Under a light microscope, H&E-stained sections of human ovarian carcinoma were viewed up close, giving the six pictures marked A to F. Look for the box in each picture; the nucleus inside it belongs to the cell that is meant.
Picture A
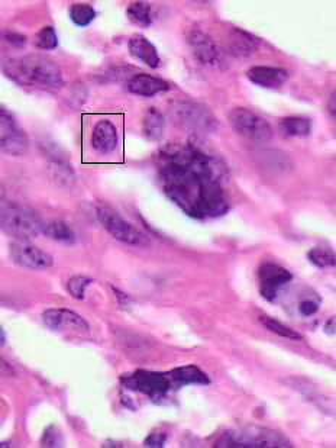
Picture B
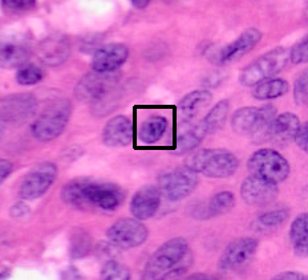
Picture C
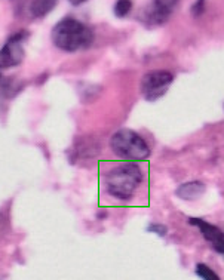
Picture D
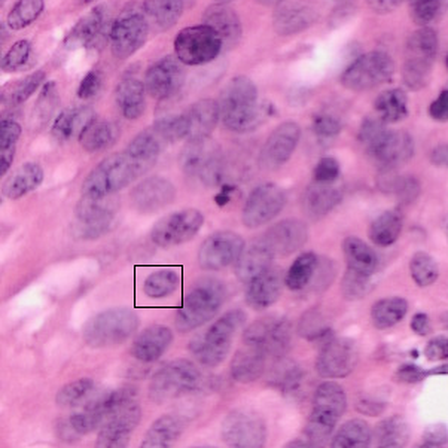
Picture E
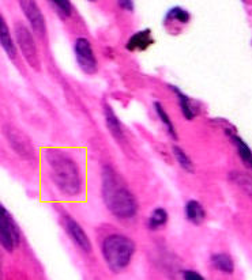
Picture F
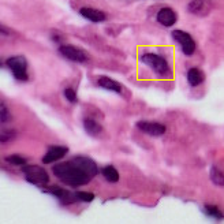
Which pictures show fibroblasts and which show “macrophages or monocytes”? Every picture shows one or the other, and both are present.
A: macrophage or monocyte
B: macrophage or monocyte
C: macrophage or monocyte
D: macrophage or monocyte
E: fibroblast
F: fibroblast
